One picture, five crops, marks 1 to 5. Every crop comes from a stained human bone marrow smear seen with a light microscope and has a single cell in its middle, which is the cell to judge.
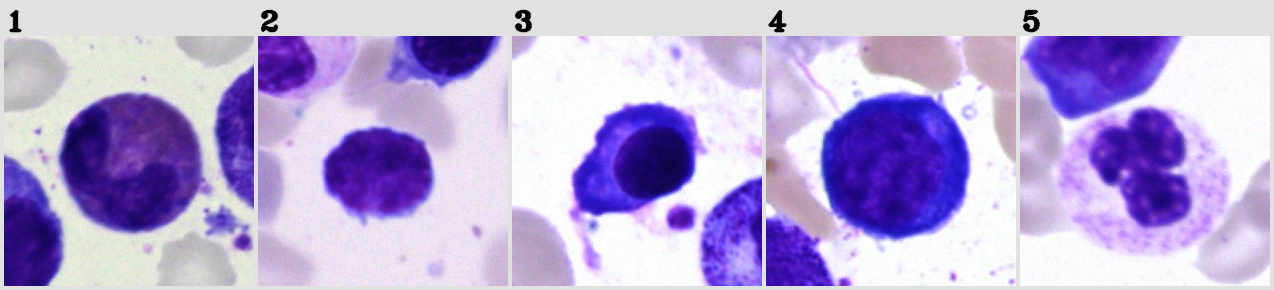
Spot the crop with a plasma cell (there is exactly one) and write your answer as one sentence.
The one showing a plasma cell is crop 3.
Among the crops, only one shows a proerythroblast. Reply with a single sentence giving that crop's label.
Among the crops given, only crop 4 shows a proerythroblast.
